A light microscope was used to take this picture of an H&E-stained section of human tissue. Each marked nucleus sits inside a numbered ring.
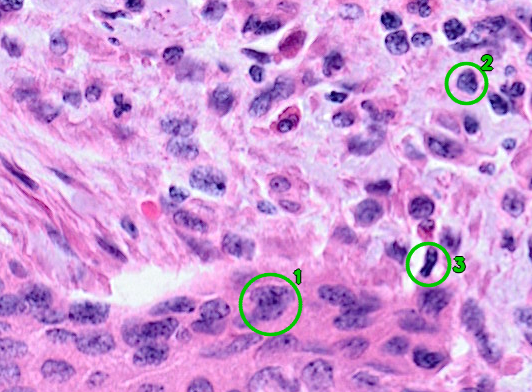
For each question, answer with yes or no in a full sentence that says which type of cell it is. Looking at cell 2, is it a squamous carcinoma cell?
No, the cell marked 2 is a lymphocyte rather than a squamous carcinoma cell.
